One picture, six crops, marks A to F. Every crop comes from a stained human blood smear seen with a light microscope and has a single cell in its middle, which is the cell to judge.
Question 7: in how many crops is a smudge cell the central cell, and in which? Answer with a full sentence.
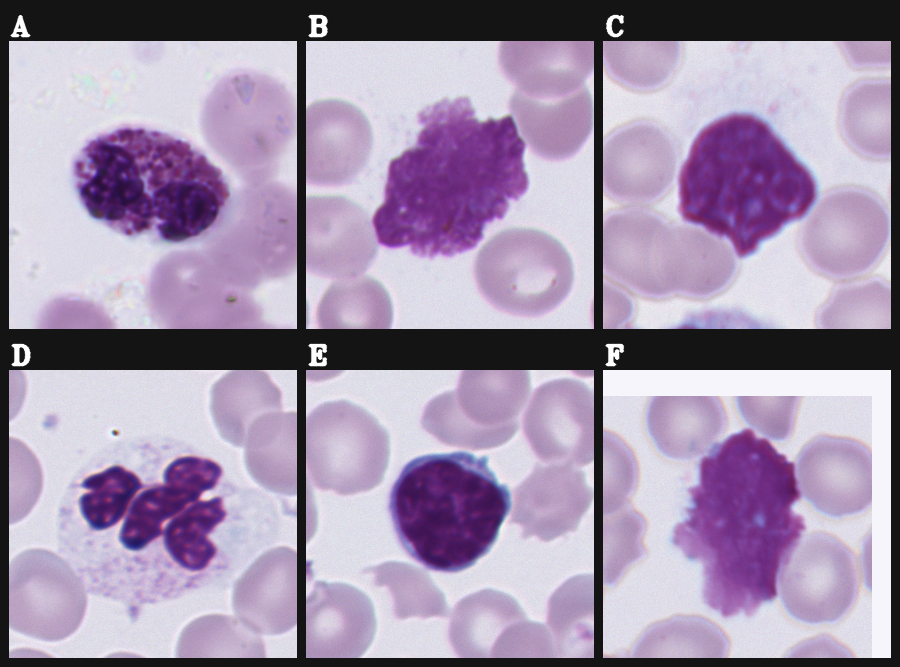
The crops with smudge cells are three in number, namely B, C and F.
